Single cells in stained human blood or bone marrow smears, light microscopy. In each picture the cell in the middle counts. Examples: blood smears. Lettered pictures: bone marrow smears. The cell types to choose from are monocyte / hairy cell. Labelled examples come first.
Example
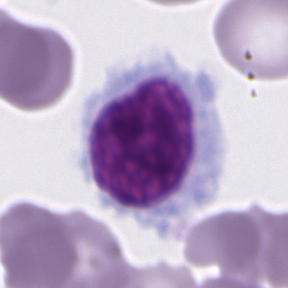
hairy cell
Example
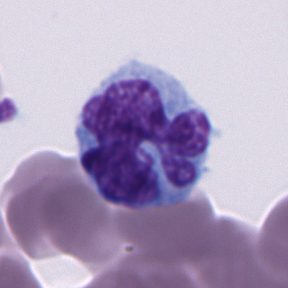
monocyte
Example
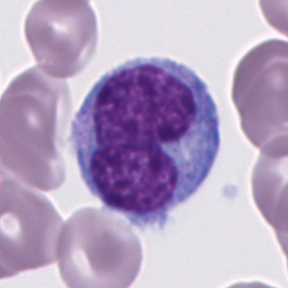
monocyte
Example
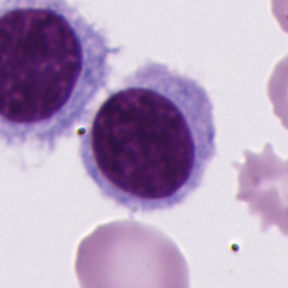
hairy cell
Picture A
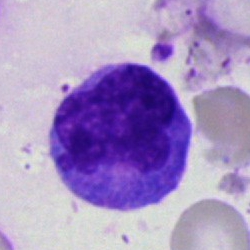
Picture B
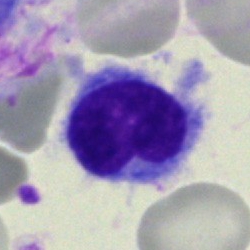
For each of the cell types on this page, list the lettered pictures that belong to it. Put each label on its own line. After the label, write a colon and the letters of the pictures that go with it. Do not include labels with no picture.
monocyte: A
hairy cell: B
